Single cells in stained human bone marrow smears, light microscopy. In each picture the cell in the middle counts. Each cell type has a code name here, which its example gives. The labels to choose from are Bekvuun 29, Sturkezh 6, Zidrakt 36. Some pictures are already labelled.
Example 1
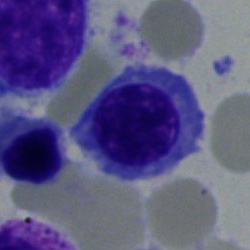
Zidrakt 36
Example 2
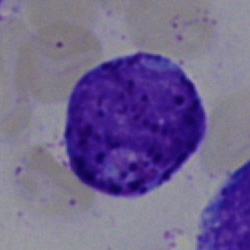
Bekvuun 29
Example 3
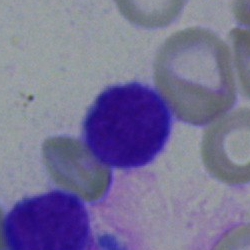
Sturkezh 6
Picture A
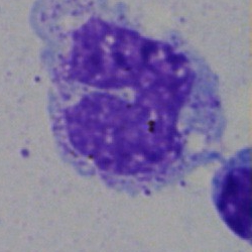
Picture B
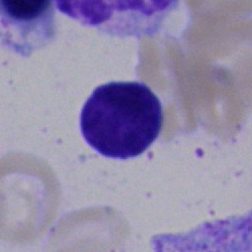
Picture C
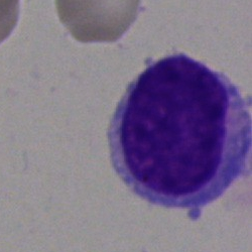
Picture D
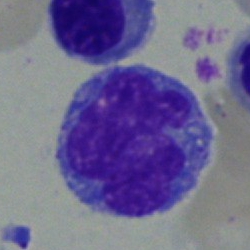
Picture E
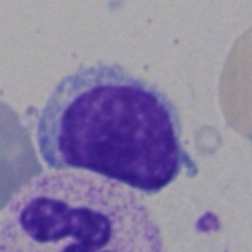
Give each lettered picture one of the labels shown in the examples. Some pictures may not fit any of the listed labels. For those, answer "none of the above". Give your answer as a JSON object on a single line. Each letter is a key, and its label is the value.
{"A": "none of the above", "B": "Sturkezh 6", "C": "Sturkezh 6", "D": "none of the above", "E": "Sturkezh 6"}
